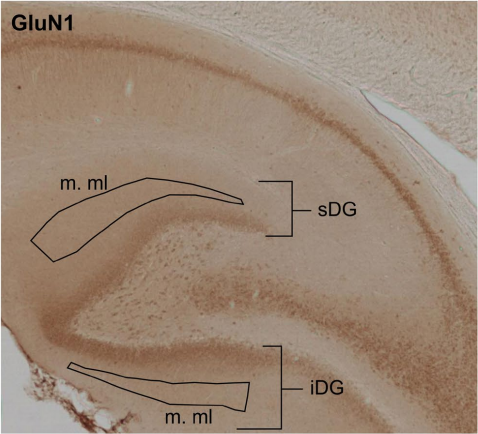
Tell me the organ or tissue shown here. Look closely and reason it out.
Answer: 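A C-shaped densely stained band of small packed cells encloses a paler central zone. A thinner curved band of stained cells arches along the upper part of the section. Paler laminated neuropil lies between the cell bands. So: hippocampal formation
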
